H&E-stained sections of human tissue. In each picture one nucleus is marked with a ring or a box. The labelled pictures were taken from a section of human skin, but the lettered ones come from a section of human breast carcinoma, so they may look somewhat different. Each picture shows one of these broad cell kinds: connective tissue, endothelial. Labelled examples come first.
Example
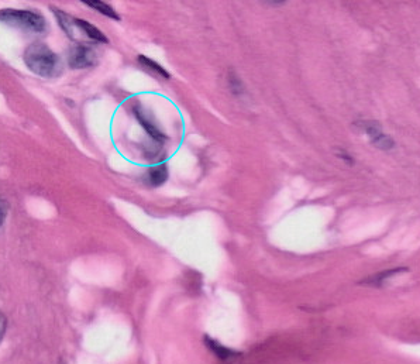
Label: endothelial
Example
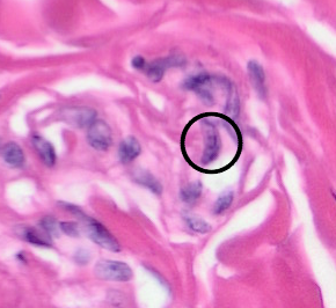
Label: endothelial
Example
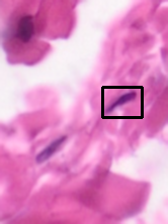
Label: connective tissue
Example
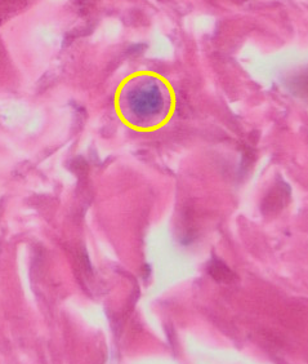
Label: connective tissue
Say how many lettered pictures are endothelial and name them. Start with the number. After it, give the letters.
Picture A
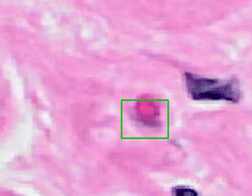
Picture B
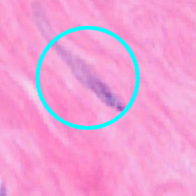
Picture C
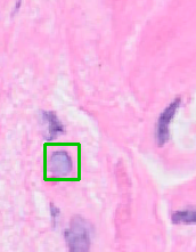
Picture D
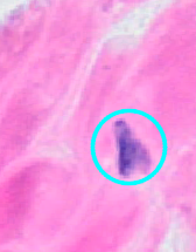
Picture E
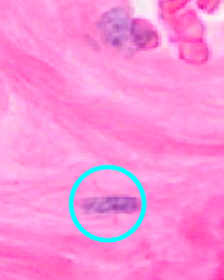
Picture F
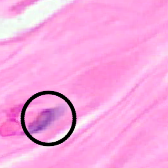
3, namely A, C, F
